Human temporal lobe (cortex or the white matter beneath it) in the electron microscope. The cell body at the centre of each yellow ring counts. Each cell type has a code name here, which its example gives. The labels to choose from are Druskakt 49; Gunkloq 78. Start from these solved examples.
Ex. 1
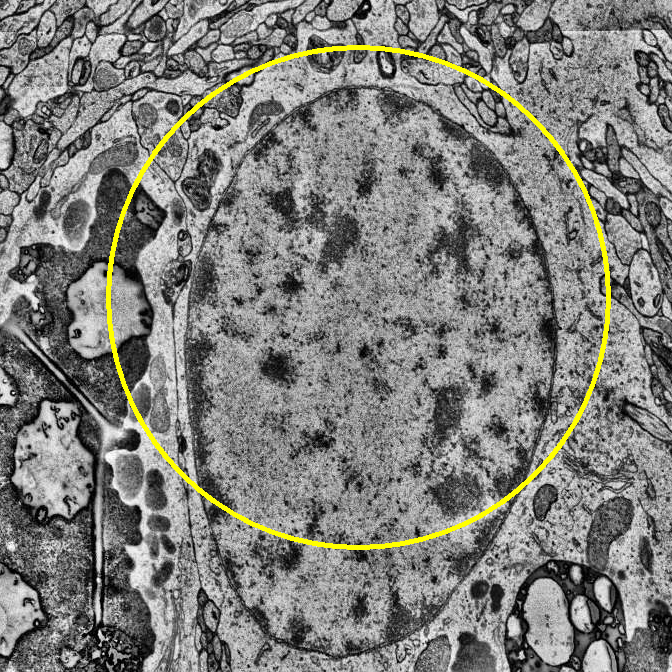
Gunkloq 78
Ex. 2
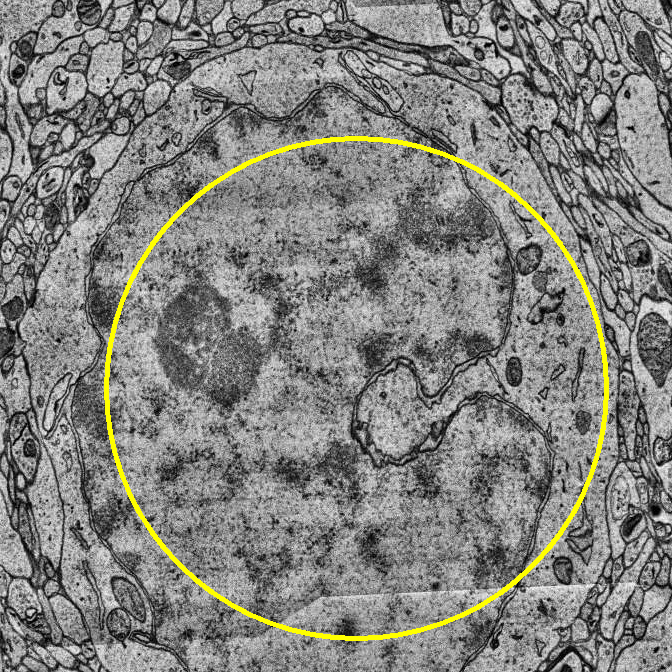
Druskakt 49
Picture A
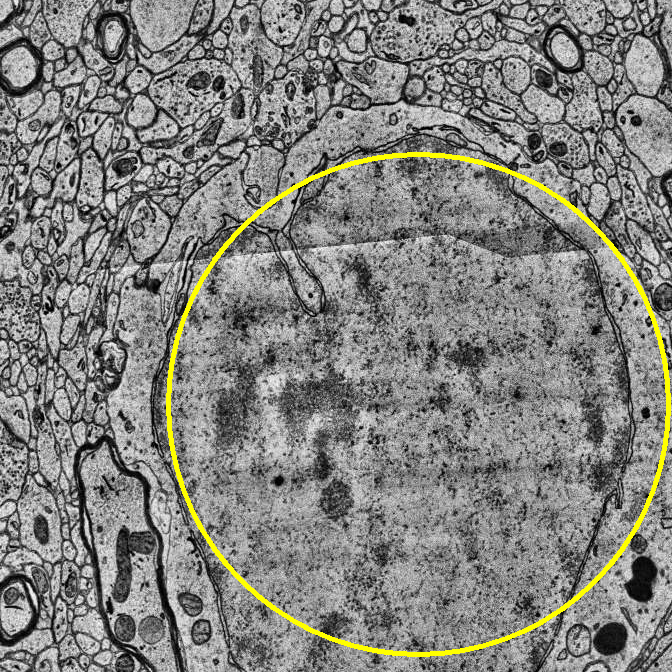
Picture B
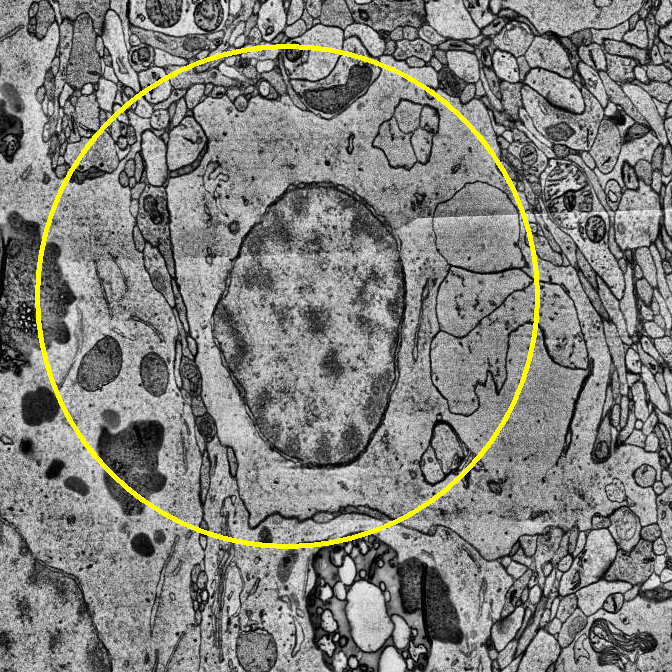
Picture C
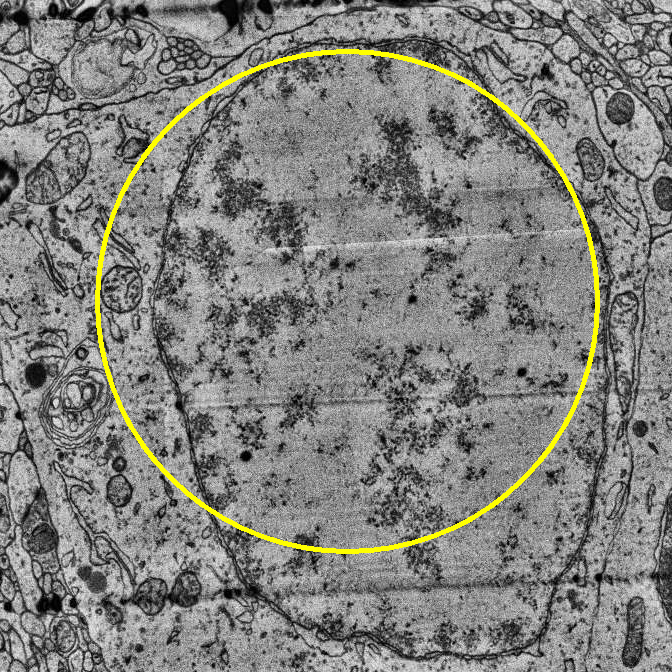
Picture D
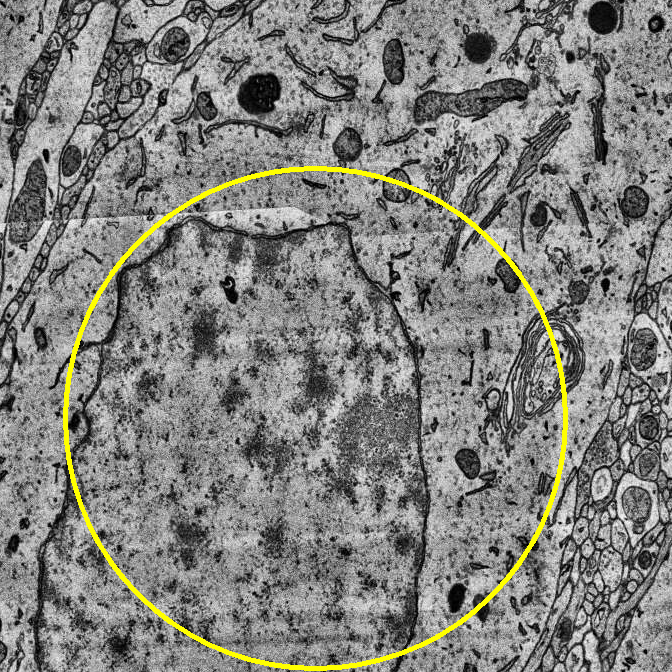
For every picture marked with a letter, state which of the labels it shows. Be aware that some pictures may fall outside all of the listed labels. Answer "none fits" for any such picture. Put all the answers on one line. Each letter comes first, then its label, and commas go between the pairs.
A Druskakt 49, B Gunkloq 78, C none fits, D none fits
